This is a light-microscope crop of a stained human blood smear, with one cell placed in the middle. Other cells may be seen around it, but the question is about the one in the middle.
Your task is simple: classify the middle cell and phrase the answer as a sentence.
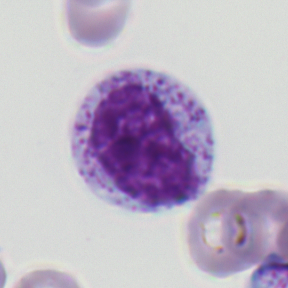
The central cell shown in this smear crop is a metamyelocyte.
